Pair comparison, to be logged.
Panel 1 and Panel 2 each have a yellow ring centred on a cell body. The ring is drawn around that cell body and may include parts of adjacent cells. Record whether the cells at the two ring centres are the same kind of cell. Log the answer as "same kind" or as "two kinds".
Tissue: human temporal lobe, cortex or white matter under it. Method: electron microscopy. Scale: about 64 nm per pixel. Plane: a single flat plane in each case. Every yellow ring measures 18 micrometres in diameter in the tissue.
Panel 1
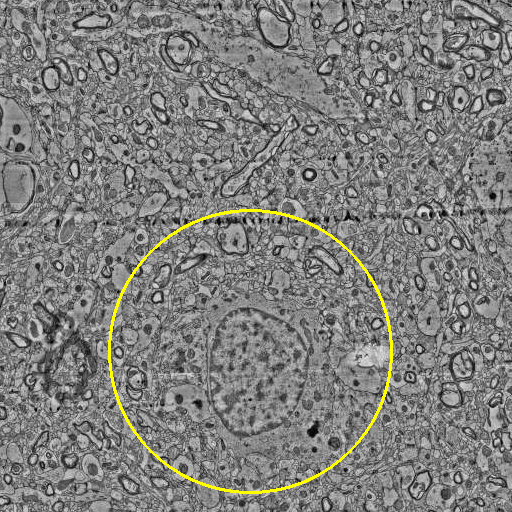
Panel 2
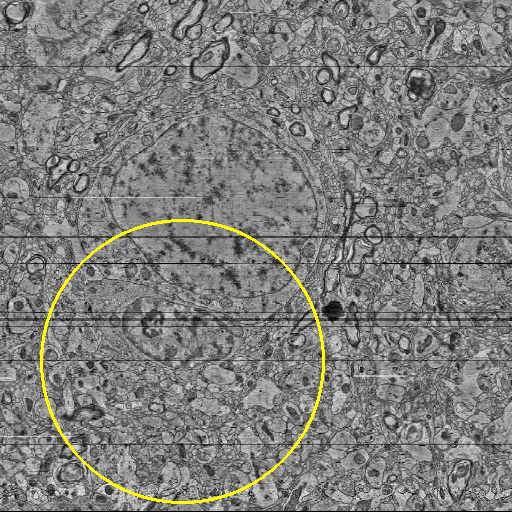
same kind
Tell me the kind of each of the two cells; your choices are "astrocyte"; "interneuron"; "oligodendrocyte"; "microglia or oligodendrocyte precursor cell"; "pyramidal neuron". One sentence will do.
In each of the two pictures, the ringed cell is an oligodendrocyte.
